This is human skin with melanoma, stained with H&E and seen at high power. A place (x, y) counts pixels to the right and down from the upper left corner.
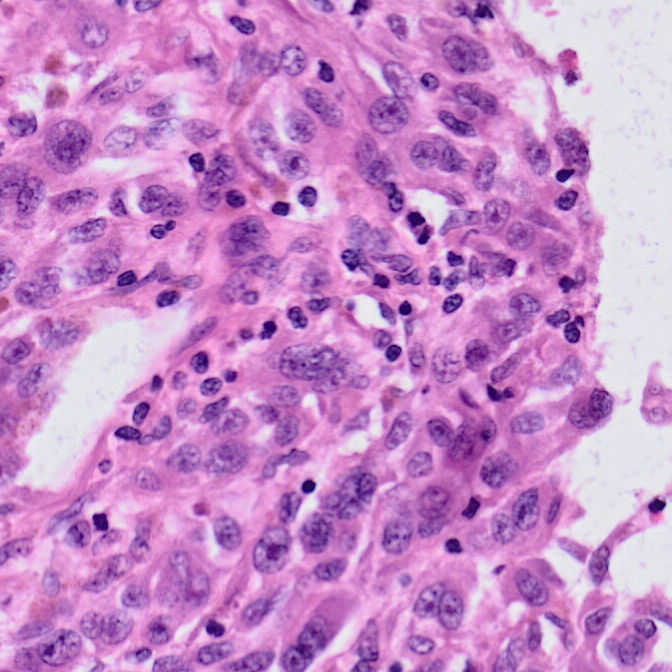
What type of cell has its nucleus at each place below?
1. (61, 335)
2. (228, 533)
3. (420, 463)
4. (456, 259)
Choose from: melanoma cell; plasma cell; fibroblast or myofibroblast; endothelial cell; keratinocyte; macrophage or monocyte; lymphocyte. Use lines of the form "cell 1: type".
cell 1: melanoma cell
cell 2: melanoma cell
cell 3: melanoma cell
cell 4: lymphocyte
